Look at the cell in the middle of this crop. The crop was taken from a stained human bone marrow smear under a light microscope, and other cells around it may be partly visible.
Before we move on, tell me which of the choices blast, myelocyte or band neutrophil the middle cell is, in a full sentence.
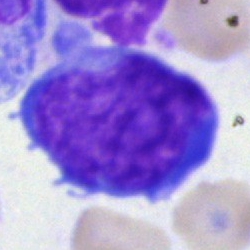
The central cell in this smear crop is a blast.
